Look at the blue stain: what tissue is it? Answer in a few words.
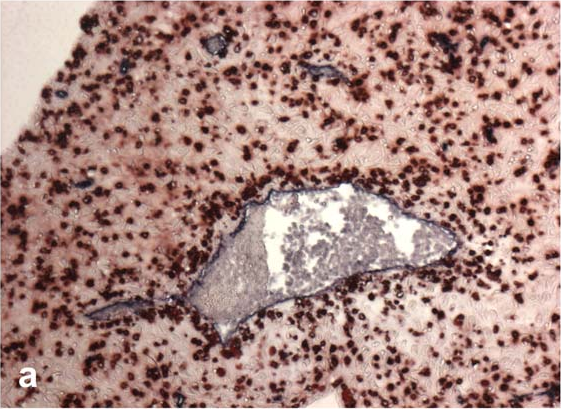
vascular endothelium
